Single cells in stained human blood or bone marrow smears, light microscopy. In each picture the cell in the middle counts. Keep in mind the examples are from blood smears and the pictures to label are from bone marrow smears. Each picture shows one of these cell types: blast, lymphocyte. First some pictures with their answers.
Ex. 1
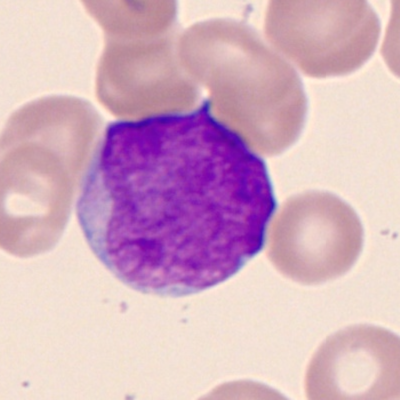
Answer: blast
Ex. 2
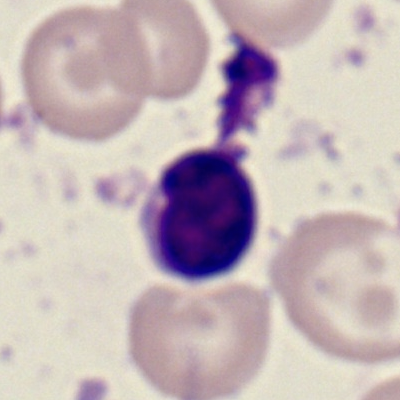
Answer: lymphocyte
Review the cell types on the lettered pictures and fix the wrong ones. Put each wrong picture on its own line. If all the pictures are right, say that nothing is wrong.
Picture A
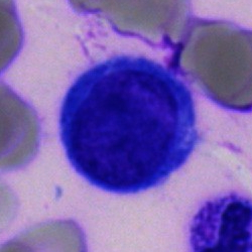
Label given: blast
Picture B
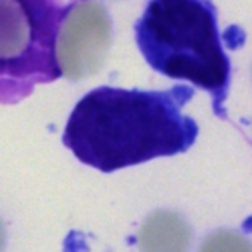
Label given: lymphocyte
Wrong: B (lymphocyte); correct: blast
